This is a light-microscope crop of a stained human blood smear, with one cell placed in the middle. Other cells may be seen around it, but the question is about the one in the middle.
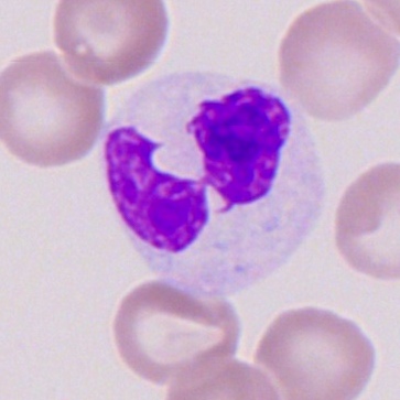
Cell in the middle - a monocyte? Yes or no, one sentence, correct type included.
No, the one in the center is not a monocyte; it is a segmented neutrophil.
